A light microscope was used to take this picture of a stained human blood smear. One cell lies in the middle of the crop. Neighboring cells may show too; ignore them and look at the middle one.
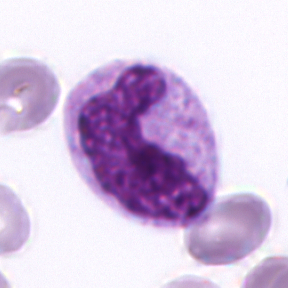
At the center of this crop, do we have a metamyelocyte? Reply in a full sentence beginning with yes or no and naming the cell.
No, in the middle of the crop there is a band neutrophil rather than a metamyelocyte.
